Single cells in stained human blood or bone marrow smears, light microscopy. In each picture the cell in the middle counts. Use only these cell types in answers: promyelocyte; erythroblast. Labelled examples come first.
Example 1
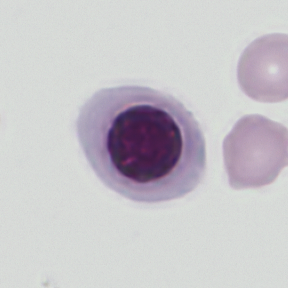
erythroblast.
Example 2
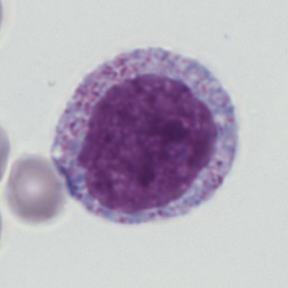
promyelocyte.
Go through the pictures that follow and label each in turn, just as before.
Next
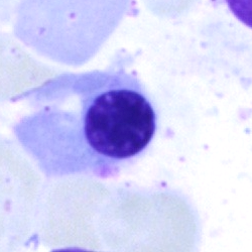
erythroblast.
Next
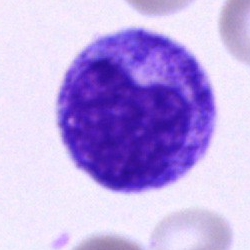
promyelocyte.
